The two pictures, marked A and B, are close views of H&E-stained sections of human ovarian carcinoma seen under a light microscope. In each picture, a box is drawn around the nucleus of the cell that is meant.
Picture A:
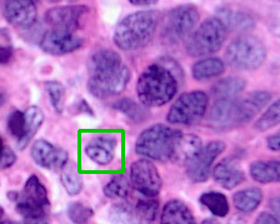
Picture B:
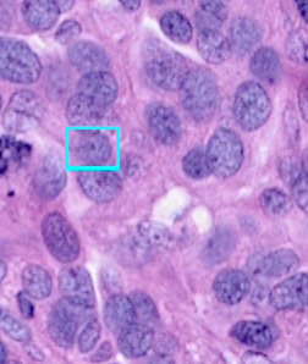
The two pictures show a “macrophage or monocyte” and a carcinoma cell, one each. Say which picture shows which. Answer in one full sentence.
Picture B shows a carcinoma cell, while picture A shows a “macrophage or monocyte”.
